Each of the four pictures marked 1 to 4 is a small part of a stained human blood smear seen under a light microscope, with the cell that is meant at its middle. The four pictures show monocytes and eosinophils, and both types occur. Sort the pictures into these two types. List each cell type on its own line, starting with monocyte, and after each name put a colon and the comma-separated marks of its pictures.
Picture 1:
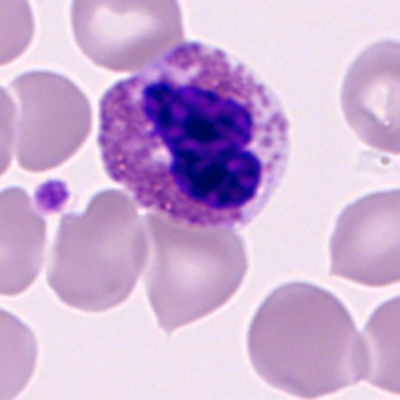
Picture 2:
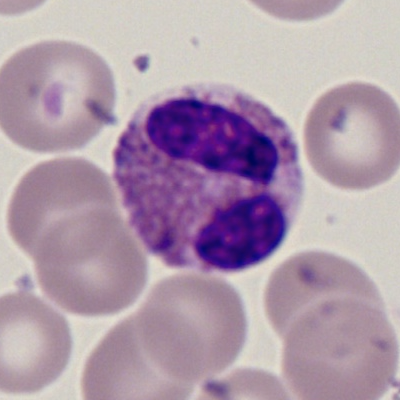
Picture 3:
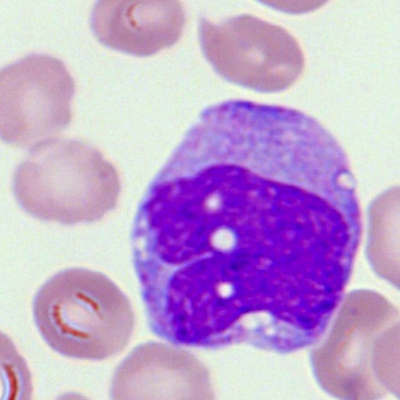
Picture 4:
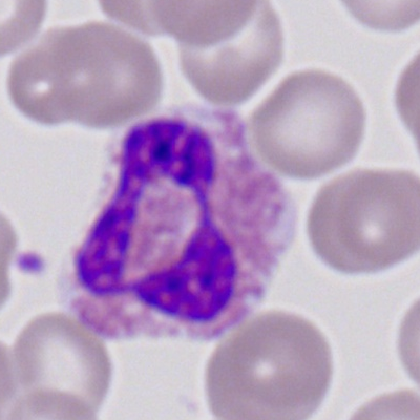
monocyte: 3
eosinophil: 1, 2, 4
